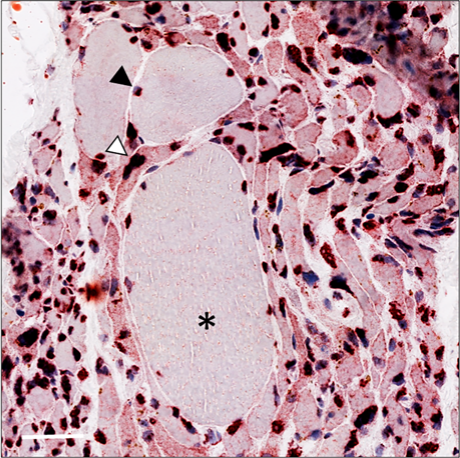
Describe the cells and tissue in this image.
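This is a cross-section of skeletal muscle in which most fibres are small and angular, packed in a group with many dark nuclei among them. A few fibres are very large and pale, standing out against the crowd of small fibres, which carry a pinkish-red tint in their sarcoplasm. Dark nuclei sit at the fibre borders and are densely clustered where fibres are smallest.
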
